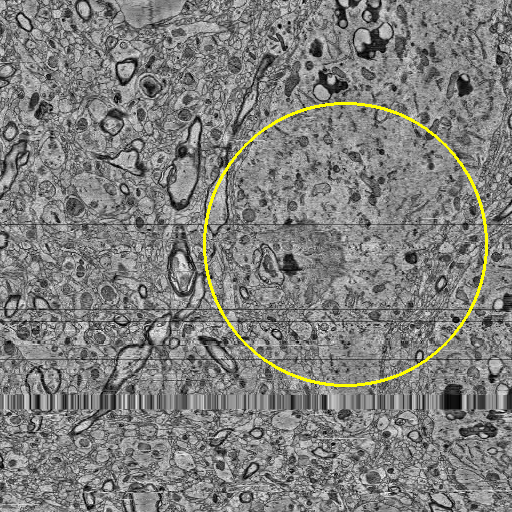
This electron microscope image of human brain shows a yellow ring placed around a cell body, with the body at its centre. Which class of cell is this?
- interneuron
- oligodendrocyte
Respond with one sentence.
The cell body at the ring's centre is an oligodendrocyte.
